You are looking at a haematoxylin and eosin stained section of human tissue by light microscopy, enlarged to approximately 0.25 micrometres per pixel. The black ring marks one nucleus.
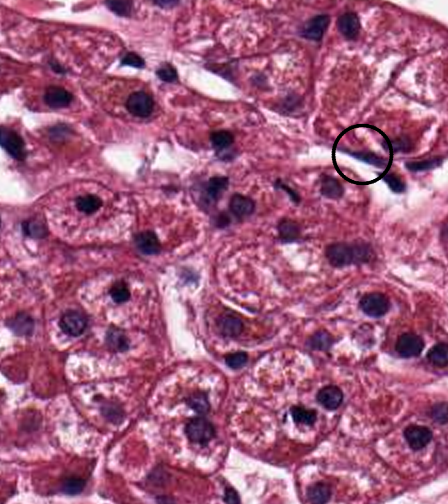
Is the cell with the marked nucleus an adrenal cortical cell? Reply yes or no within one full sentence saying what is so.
No, the marked nucleus is assigned not to an adrenal cortical cell but to a supporting cell.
